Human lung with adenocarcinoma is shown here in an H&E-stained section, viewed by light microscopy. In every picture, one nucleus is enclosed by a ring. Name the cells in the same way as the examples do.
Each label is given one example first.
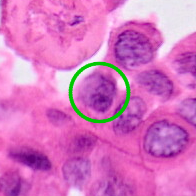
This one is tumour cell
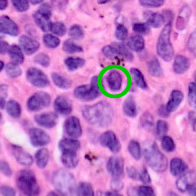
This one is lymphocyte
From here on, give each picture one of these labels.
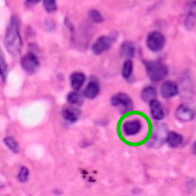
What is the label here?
lymphocyte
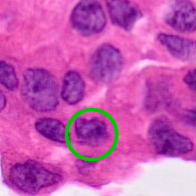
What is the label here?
tumour cell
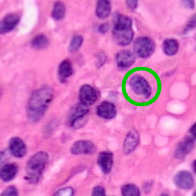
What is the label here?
lymphocyte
